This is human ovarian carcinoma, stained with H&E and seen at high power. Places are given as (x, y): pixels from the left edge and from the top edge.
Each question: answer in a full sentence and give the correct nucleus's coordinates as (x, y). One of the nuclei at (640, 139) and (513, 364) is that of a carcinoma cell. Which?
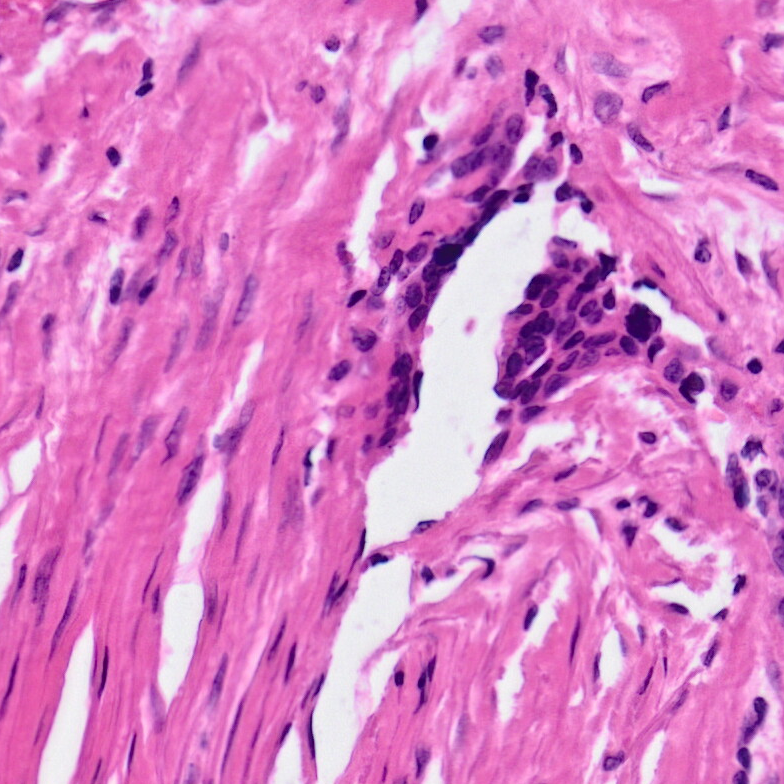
The nucleus at (513, 364) is housed in a carcinoma cell.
